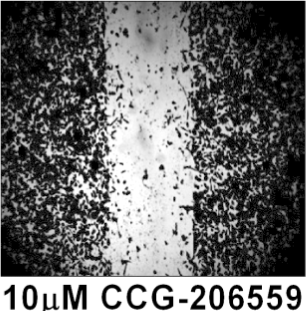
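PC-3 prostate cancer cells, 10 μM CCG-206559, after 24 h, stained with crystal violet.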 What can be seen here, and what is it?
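A vertical scratch runs down the centre. The cells on either side form crowded, high-contrast sheets. The scratch itself remains a broad, bright, nearly empty band. It holds only a few small scattered cells or fragments, and its borders are fairly sharp and straight. This shows that few cells have moved into the gap.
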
